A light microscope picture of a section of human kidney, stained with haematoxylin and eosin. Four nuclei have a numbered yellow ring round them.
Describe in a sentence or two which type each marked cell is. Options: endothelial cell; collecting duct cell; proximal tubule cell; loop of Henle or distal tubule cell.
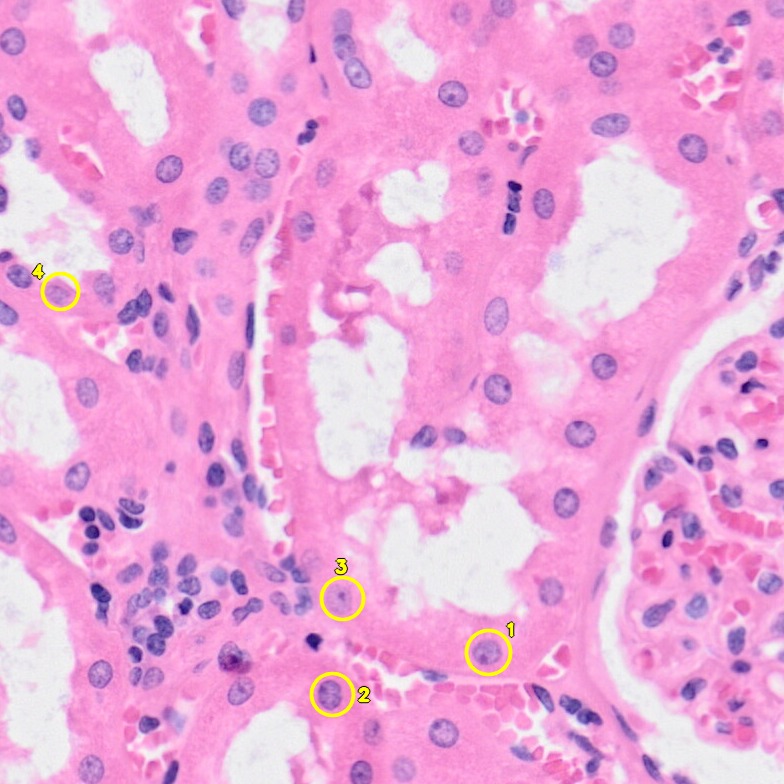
Cell 1 is a proximal tubule cell, cell 2 is a proximal tubule cell, cell 3 is a proximal tubule cell and cell 4 is a loop of Henle or distal tubule cell.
